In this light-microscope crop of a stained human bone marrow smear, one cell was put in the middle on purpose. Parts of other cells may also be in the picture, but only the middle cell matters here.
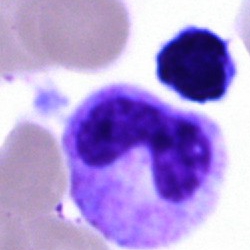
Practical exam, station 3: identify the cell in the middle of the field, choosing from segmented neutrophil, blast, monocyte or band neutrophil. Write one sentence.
The centrally positioned cell in the crop represents a band neutrophil.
